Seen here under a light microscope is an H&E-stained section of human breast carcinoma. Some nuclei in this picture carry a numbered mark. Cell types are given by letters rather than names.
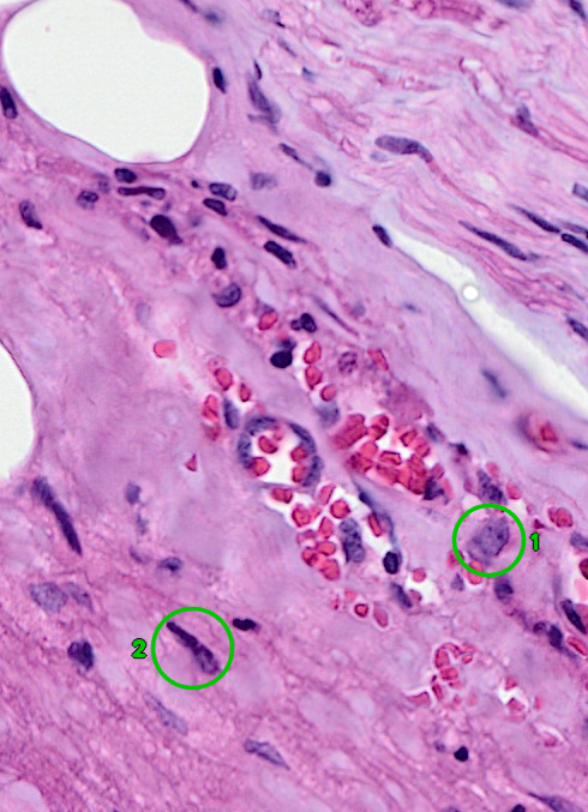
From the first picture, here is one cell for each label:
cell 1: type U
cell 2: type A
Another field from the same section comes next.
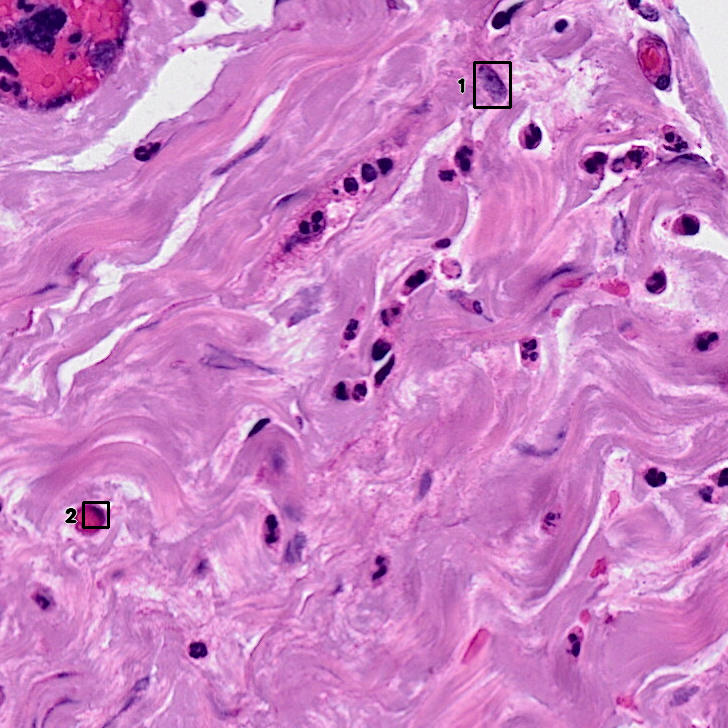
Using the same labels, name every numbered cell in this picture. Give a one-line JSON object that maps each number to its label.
{"1": "type A", "2": "type U"}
